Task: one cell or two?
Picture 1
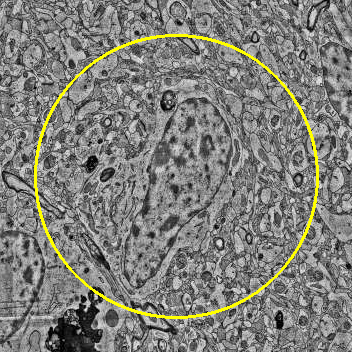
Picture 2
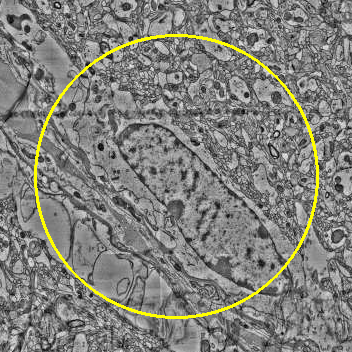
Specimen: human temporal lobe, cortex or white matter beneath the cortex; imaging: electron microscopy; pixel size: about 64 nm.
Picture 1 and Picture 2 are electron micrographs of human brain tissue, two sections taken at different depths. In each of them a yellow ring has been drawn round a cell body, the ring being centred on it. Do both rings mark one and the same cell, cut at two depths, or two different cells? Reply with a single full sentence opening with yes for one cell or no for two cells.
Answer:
No, what the two rings mark is two different cells.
